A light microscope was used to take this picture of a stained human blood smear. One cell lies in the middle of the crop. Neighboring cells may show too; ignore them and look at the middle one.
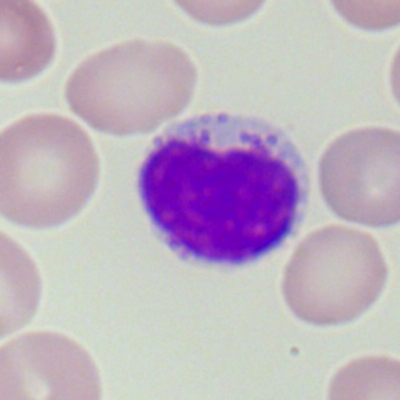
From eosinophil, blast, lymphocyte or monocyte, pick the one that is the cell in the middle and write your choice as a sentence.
The identification for the central cell is a lymphocyte.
